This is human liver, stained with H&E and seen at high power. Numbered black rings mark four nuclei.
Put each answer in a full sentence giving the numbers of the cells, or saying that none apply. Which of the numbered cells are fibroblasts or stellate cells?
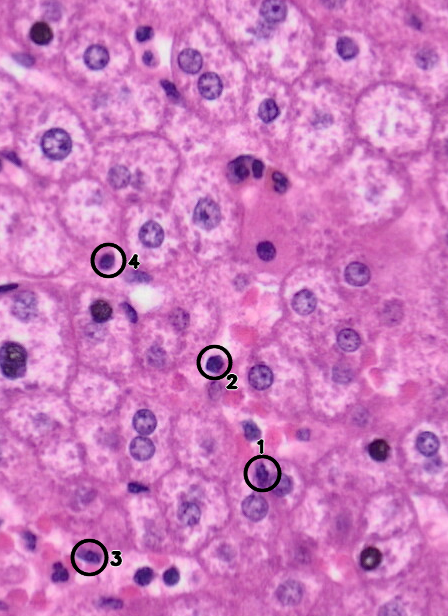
Cell 1 is a fibroblast or stellate cell, and it is the only one.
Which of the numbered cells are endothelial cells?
Of those with numbers, only cell 3 is an endothelial cell.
